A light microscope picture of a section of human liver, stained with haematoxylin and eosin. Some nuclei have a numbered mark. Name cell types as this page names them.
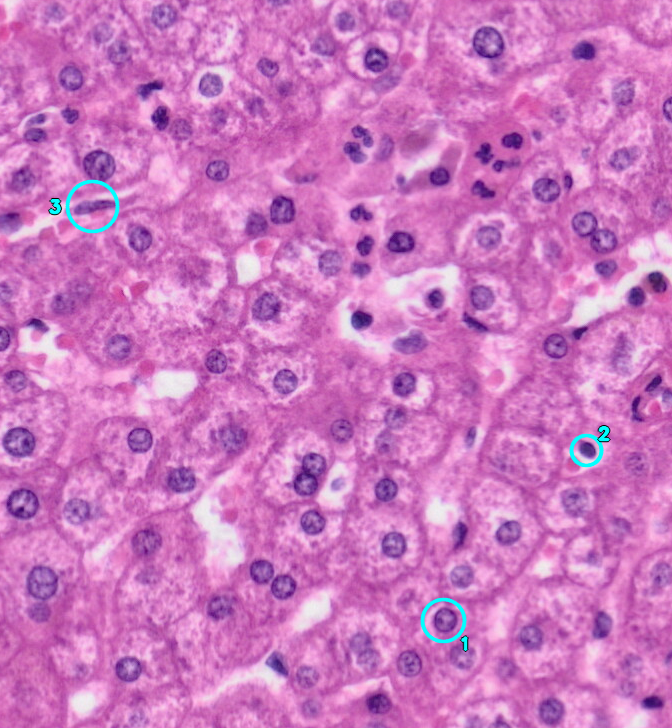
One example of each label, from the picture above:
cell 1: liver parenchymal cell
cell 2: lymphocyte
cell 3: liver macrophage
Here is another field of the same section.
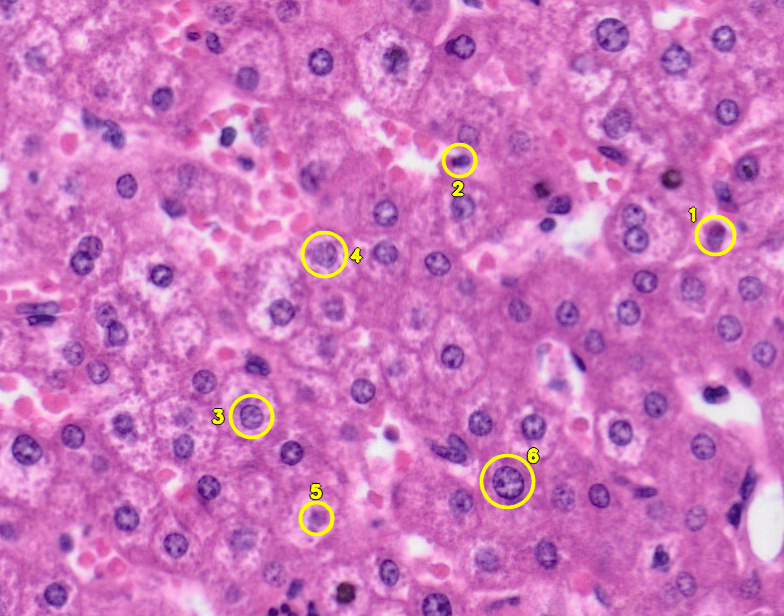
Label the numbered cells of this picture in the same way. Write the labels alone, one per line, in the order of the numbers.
liver macrophage
lymphocyte
liver parenchymal cell
liver parenchymal cell
liver parenchymal cell
liver parenchymal cell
